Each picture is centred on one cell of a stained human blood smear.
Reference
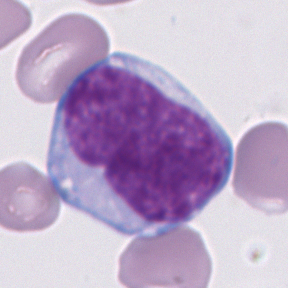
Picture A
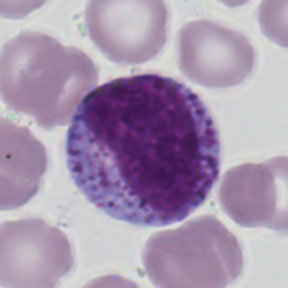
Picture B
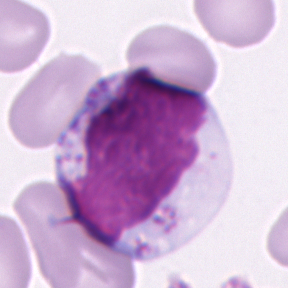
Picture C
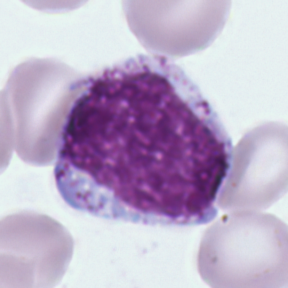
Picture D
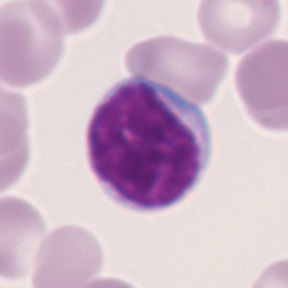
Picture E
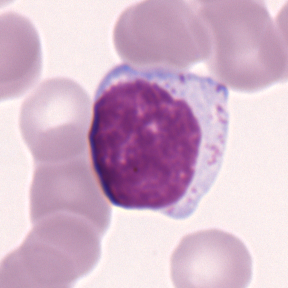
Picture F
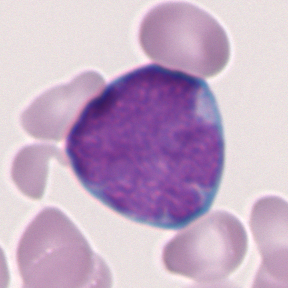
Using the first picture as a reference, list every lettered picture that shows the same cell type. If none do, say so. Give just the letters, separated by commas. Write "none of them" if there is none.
F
